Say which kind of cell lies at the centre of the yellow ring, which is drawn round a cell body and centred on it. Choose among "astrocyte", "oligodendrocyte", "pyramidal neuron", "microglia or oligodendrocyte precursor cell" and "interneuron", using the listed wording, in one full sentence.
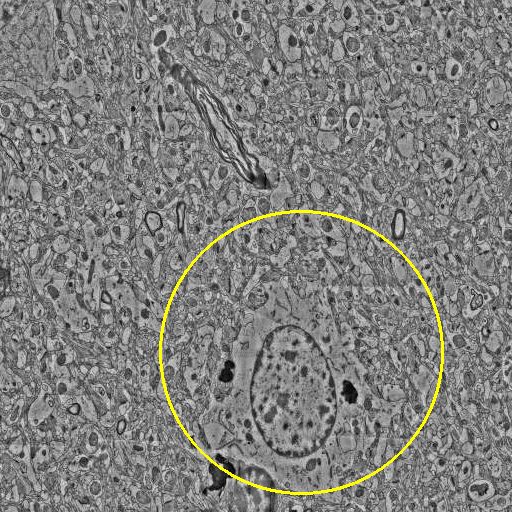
Going by the list, the cell at the yellow ring's centre is an astrocyte.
